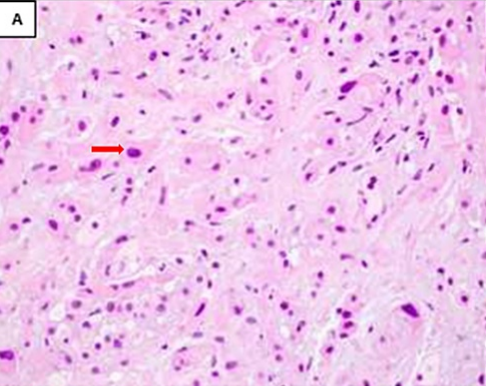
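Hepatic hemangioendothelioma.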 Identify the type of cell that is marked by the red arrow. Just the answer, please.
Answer: Pleomorphic epithelioid cell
